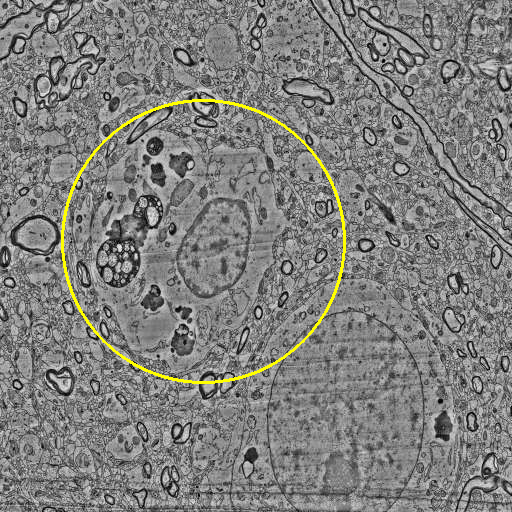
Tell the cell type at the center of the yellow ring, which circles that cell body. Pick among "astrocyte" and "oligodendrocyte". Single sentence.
The ring is centered on the body of an astrocyte.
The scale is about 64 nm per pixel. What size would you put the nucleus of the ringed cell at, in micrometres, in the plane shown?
In this plane the nucleus is clearly longer than it is wide: roughly 7 by 4 micrometres.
